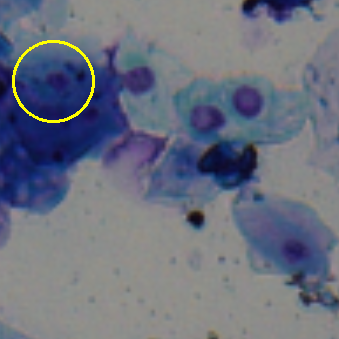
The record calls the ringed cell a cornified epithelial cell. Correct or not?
Not correct; it is a nucleated epithelial cell.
